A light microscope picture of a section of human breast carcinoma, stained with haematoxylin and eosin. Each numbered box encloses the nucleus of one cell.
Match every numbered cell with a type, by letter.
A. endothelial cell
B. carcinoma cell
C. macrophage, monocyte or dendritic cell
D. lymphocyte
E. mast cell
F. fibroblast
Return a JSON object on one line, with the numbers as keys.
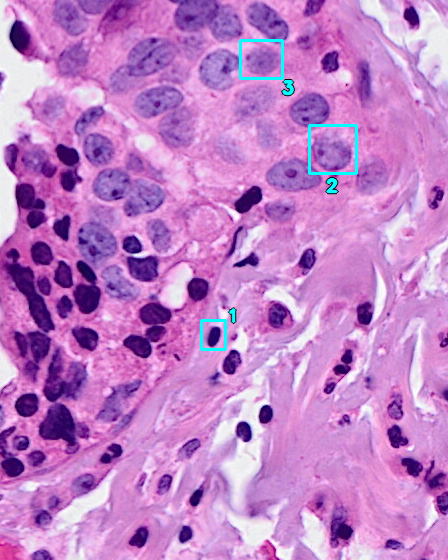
{"1": "D", "2": "B", "3": "B"}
